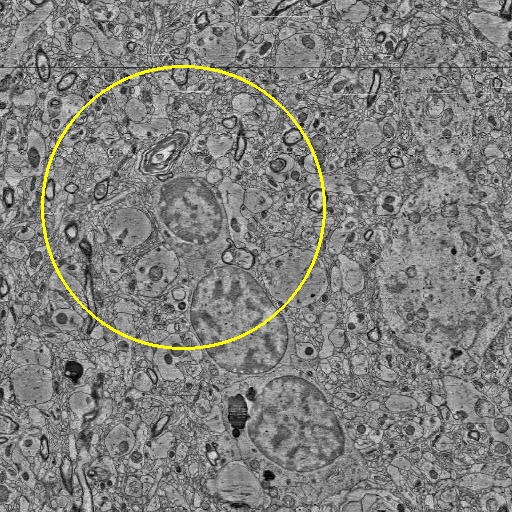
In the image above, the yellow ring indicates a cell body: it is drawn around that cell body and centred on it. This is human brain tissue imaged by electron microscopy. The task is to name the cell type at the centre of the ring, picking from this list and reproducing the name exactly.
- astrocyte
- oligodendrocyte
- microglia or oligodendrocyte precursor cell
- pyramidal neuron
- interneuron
oligodendrocyte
